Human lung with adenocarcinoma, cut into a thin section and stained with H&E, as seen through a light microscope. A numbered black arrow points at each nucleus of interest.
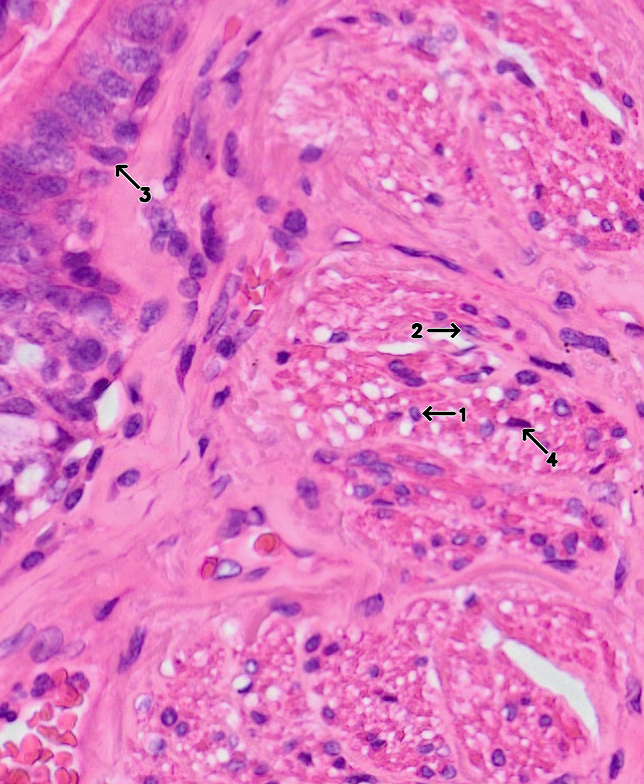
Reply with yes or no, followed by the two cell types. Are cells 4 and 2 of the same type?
Yes, both are smooth muscle cells or pericytes.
